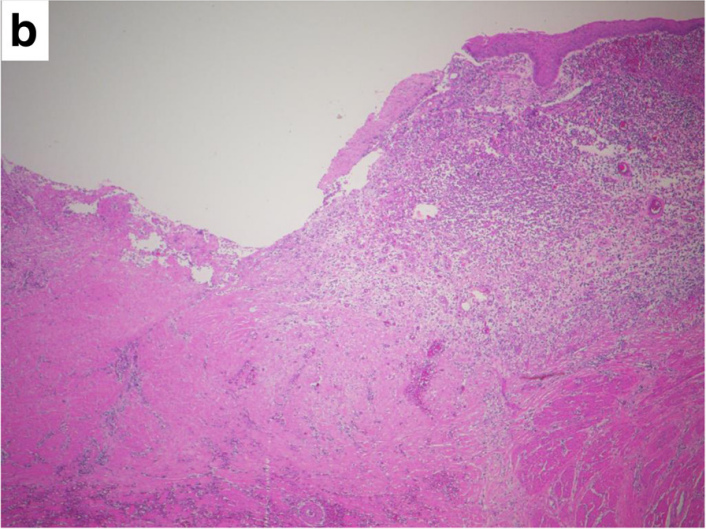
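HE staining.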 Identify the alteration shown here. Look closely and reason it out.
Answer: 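Erosion and ulceration. Intact layered squamous surface epithelium is present only at the upper right. To the left the surface lining is missing and the wall is exposed as a depressed defect.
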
